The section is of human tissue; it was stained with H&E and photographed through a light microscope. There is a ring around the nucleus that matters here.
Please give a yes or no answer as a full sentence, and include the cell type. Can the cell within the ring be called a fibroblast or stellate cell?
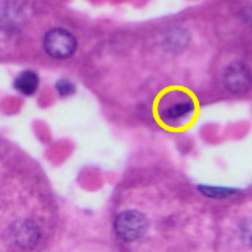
Yes, it is a fibroblast or stellate cell that the cell within the ring represents in this section.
